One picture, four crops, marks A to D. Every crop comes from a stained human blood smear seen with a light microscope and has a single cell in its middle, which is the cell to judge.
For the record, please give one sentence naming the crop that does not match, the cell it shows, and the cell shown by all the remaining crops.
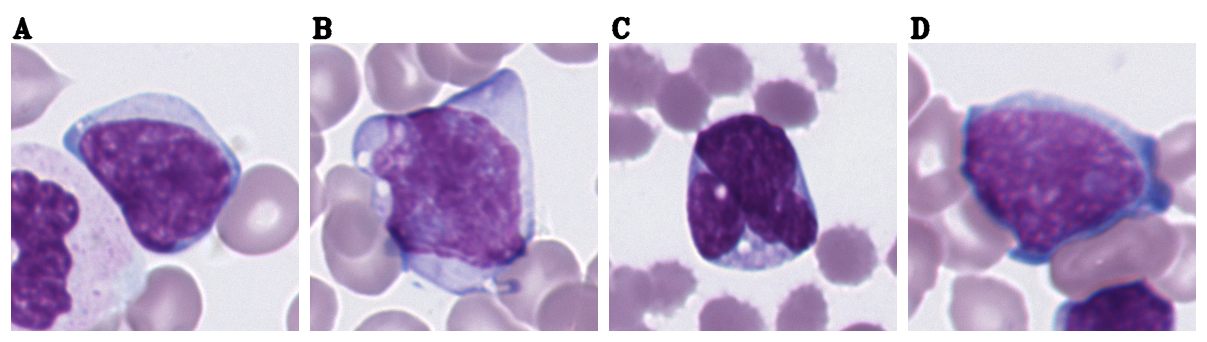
Only crop C differs, being a monocyte, while the others all show blasts.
